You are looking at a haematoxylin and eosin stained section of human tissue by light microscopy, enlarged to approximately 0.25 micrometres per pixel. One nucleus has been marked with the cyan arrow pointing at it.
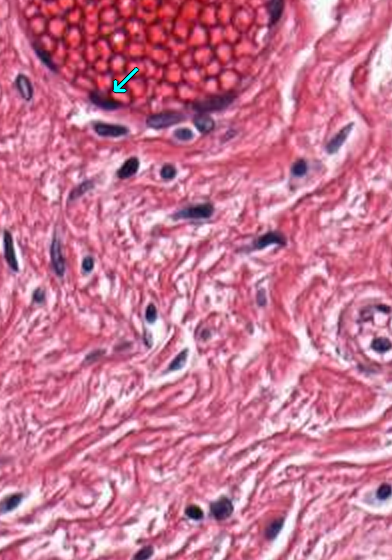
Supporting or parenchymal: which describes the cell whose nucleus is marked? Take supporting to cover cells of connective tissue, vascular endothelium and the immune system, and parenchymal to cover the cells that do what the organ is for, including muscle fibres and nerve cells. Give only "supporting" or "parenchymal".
supporting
